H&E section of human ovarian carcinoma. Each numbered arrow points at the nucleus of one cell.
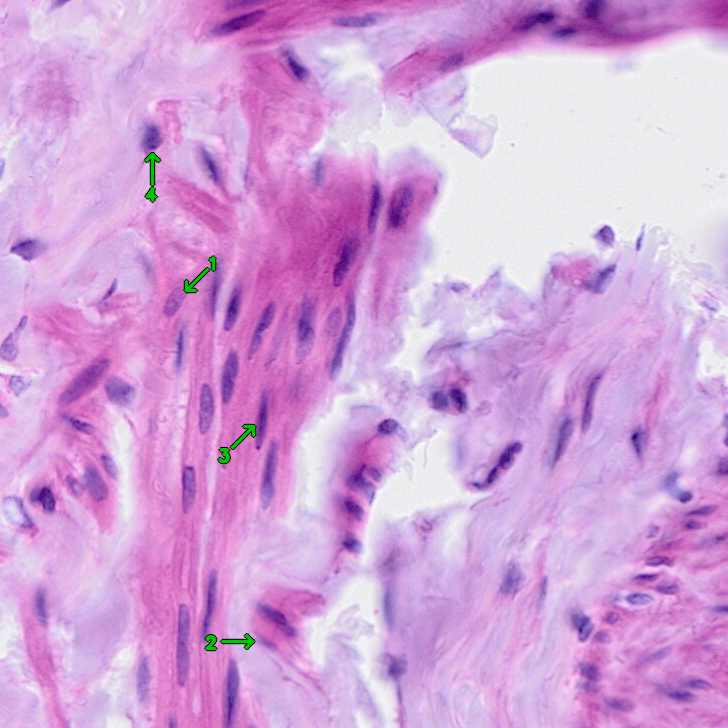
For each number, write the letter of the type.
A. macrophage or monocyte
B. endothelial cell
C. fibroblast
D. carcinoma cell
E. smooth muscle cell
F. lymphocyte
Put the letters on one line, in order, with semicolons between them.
E; E; E; C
